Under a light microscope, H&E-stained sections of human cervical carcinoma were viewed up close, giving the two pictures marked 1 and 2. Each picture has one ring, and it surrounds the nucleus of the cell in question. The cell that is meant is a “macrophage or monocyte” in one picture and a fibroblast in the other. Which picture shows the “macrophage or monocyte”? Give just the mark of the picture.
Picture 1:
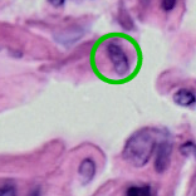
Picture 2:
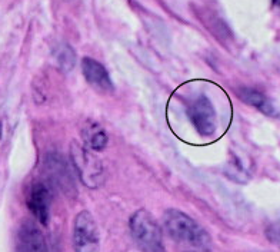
1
